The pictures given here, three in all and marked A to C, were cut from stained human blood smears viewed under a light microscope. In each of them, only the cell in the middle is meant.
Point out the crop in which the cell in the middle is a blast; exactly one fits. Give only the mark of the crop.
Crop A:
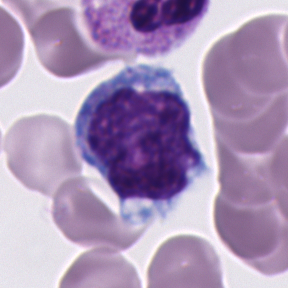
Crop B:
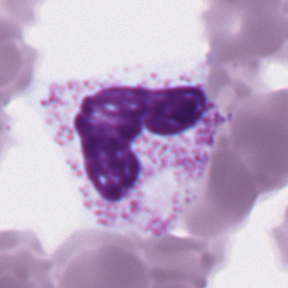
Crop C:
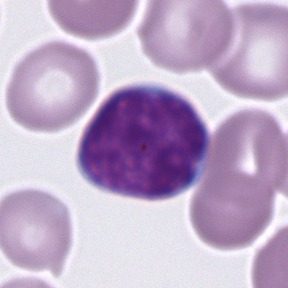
C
